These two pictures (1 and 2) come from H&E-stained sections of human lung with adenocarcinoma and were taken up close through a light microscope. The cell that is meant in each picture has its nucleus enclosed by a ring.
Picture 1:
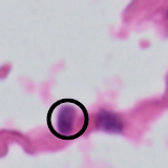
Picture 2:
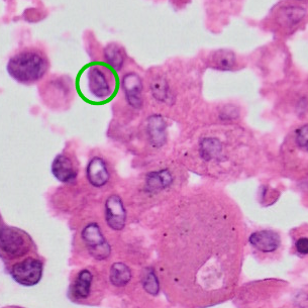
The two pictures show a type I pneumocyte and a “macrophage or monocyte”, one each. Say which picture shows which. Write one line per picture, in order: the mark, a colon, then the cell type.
1: type I pneumocyte
2: macrophage or monocyte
